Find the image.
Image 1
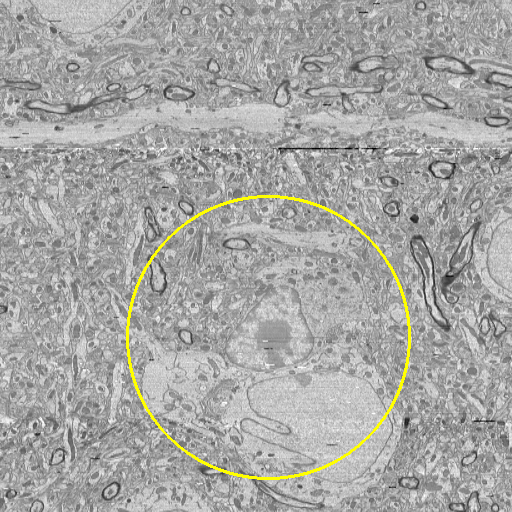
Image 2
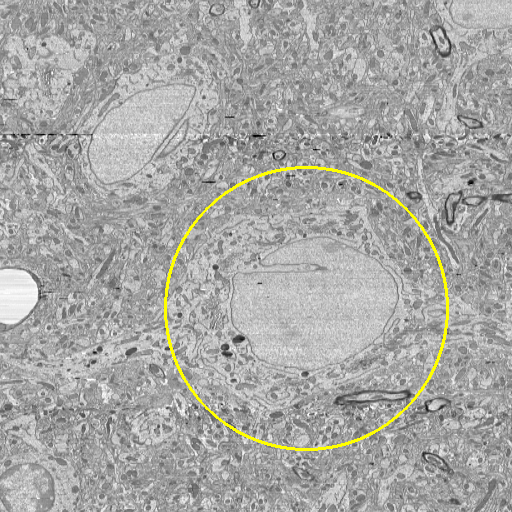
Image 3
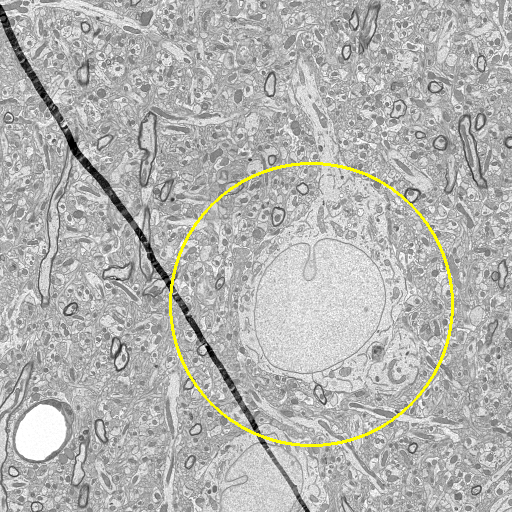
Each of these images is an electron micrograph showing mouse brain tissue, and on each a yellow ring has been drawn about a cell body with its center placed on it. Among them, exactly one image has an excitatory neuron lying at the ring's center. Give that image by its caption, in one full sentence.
The ring in Image 3 is centered on the cell the question describes.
